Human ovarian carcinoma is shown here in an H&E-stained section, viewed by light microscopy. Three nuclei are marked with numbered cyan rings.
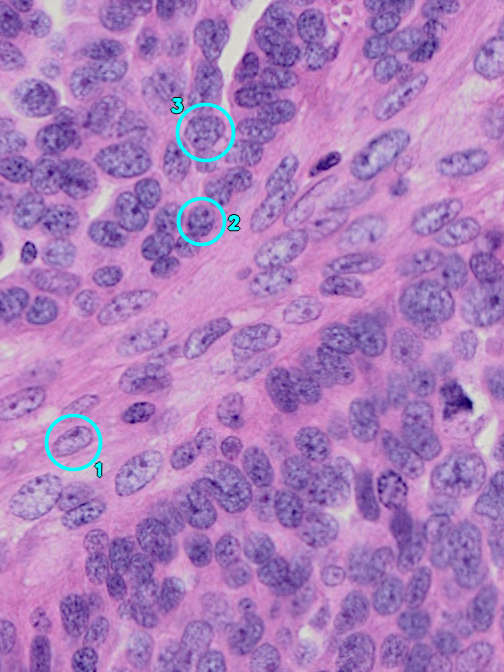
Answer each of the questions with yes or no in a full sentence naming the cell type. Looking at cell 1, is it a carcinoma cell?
No, the cell tagged 1 is a fibroblast, not a carcinoma cell.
